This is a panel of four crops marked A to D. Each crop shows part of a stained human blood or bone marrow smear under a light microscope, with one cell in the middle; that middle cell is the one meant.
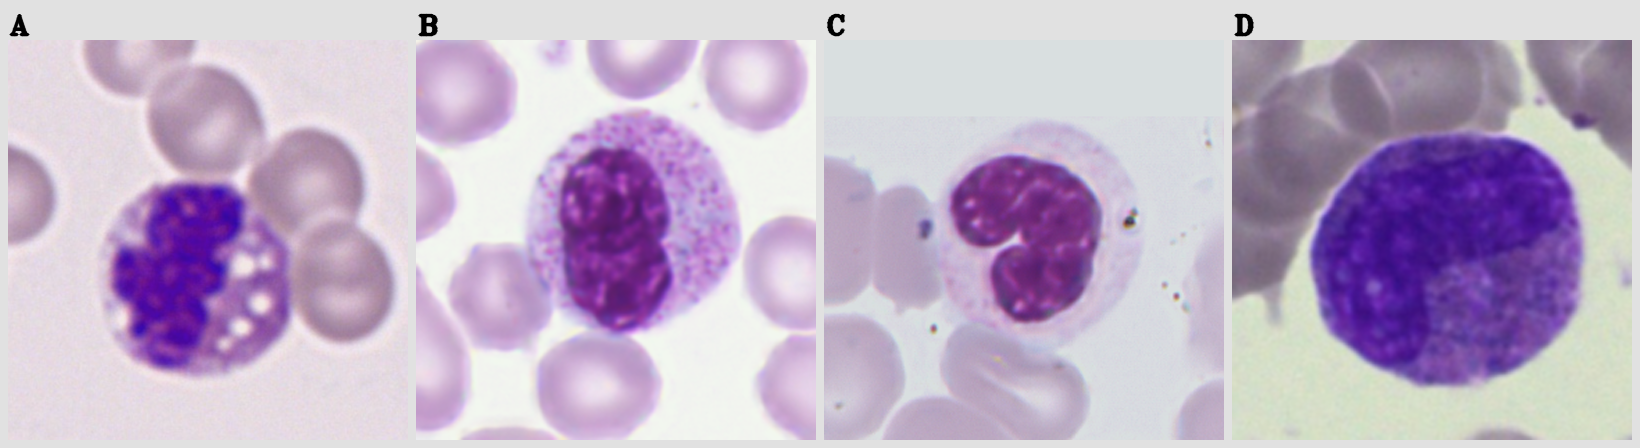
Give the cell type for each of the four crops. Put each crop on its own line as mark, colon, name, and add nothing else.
A: eosinophil
B: band neutrophil
C: band neutrophil
D: eosinophil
